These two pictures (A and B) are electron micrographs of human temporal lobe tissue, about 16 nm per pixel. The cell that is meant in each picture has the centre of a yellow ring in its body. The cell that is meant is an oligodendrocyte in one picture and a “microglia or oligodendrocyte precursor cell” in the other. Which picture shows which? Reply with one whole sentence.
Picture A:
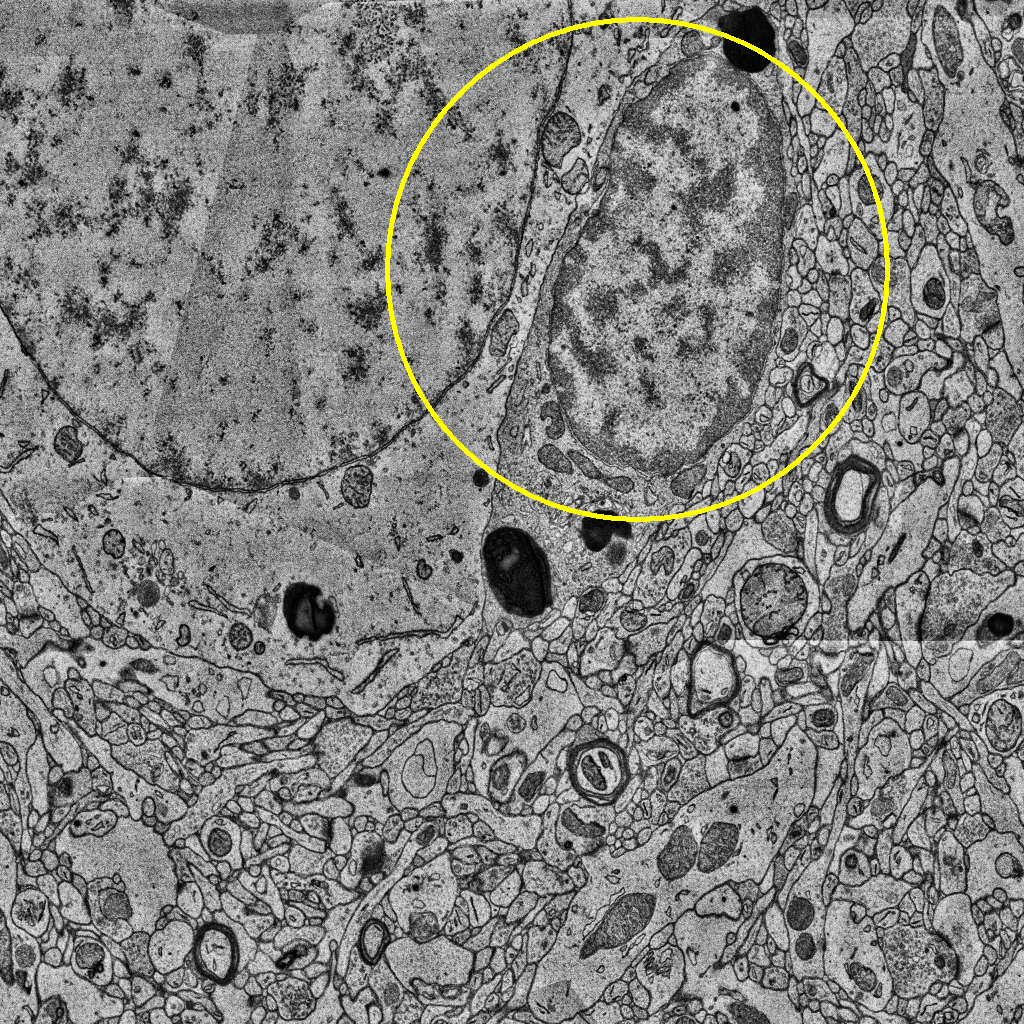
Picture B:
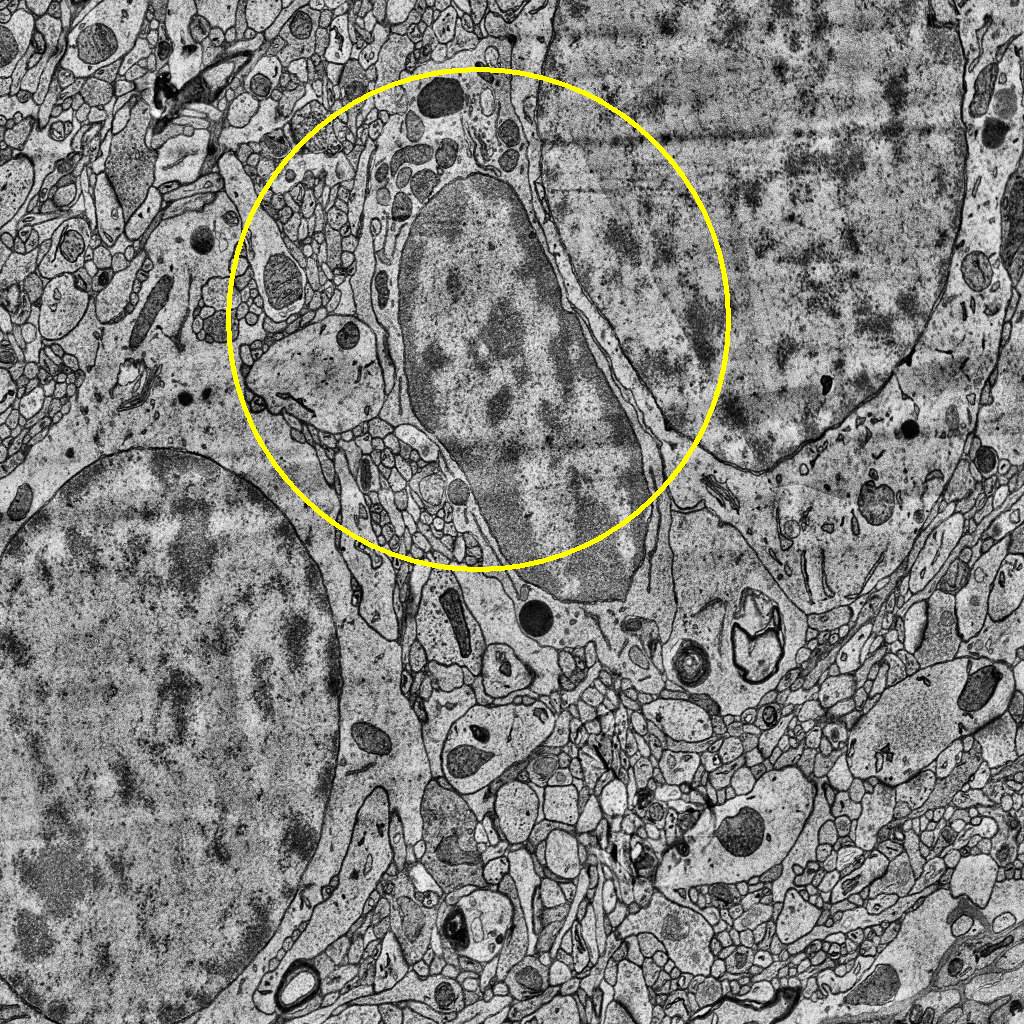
It is picture A that shows an oligodendrocyte, and picture B that shows a “microglia or oligodendrocyte precursor cell”.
